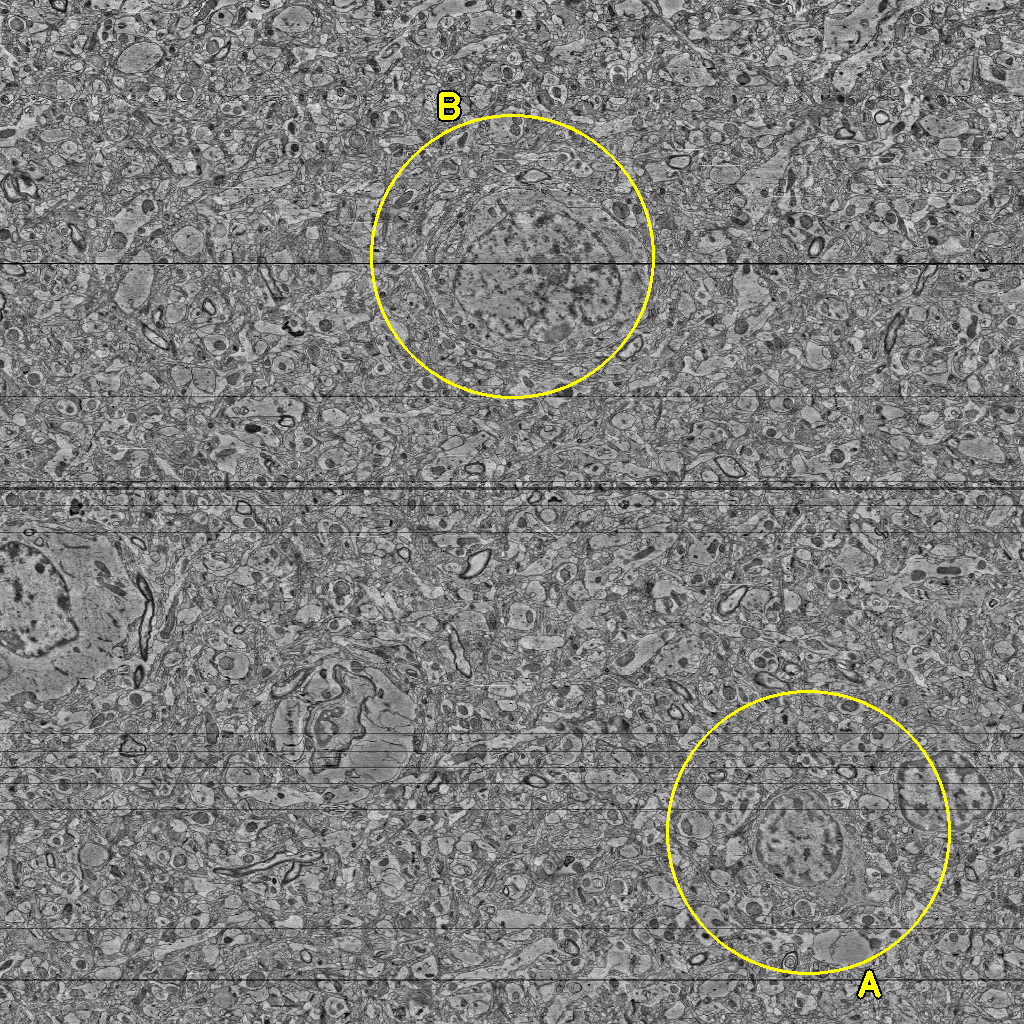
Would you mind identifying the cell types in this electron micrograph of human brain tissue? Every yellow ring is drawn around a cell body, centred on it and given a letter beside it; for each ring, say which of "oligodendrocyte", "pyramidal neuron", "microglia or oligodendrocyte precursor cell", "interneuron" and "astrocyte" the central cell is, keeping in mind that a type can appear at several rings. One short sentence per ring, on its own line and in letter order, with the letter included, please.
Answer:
At the centre of ring A lies an oligodendrocyte.
At the centre of ring B lies an interneuron.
